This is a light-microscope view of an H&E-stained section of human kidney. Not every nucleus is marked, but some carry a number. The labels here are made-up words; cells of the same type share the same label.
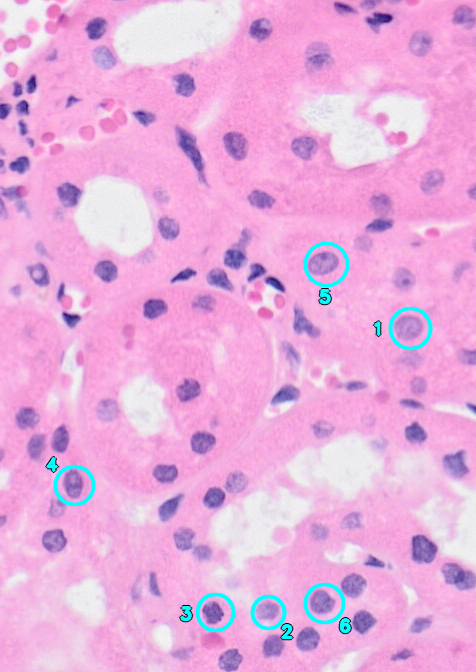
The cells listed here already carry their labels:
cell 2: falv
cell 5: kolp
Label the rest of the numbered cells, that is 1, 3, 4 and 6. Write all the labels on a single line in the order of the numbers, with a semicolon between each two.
kolp; falv; kolp; falv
